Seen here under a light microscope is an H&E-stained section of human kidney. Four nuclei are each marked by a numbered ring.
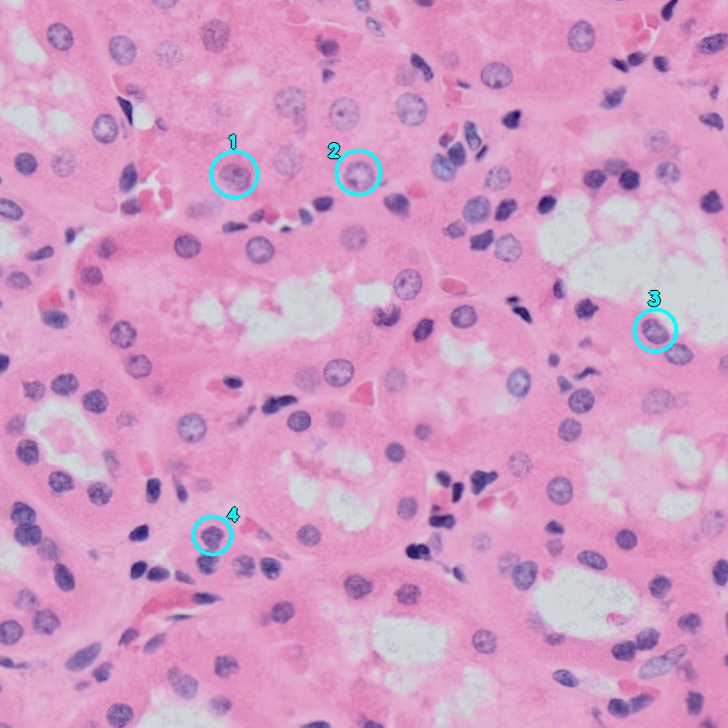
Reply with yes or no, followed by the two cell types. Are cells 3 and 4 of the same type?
Yes, of the numbered cells, 3 and 4 are both loop of Henle or distal tubule cells.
